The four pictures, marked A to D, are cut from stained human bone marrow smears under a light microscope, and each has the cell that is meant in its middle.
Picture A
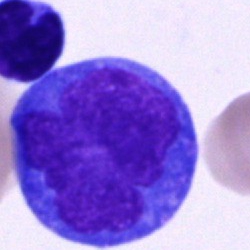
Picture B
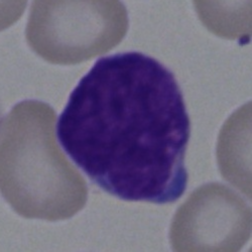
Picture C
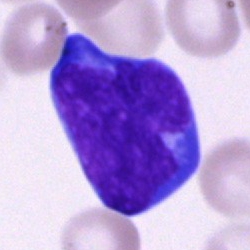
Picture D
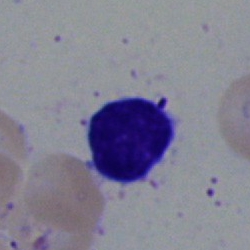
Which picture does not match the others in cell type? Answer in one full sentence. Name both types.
The others show blasts, but picture D shows a lymphocyte.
